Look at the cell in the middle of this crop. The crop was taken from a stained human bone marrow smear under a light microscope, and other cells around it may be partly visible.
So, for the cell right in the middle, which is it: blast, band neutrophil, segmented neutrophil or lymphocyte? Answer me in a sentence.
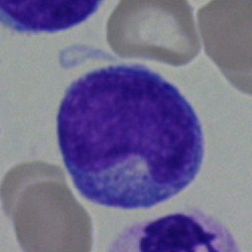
In the middle of this smear crop, the cell is a blast.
